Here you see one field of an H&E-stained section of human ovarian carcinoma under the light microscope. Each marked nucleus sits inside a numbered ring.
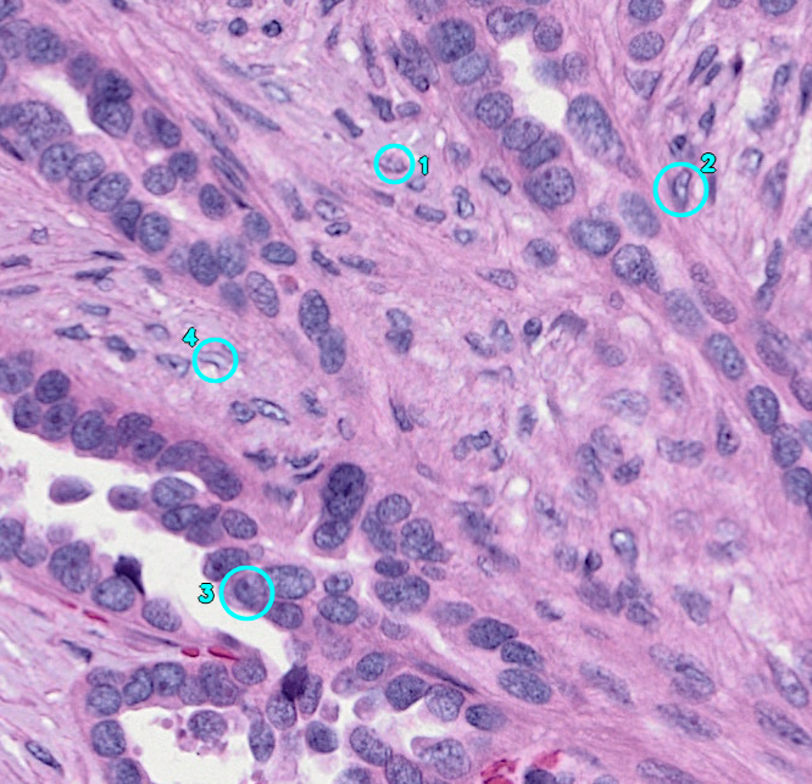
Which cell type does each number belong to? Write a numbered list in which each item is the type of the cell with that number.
1. fibroblast
2. fibroblast
3. carcinoma cell
4. fibroblast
